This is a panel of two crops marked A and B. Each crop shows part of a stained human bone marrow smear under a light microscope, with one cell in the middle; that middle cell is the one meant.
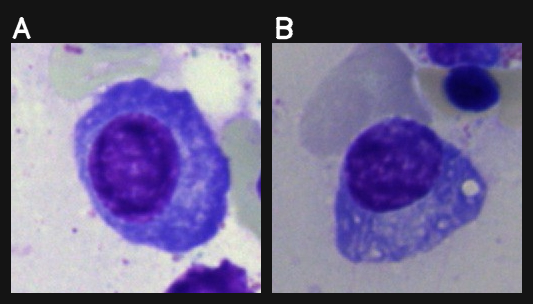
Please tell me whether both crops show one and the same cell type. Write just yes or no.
yes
